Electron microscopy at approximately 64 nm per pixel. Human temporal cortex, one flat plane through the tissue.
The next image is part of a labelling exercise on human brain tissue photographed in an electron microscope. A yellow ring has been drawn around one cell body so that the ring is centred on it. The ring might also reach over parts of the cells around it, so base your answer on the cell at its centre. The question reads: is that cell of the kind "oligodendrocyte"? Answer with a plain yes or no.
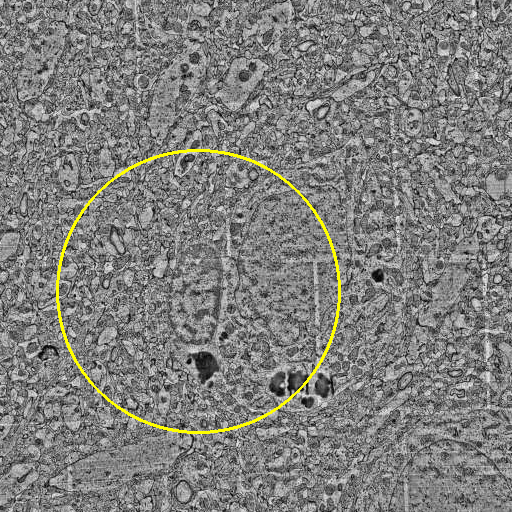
yes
